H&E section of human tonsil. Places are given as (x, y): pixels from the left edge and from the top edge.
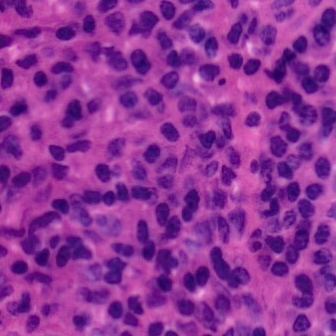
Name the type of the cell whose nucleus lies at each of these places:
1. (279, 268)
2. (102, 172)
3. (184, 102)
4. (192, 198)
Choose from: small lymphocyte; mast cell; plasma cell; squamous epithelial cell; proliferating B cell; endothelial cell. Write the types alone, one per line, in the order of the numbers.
plasma cell
plasma cell
squamous epithelial cell
plasma cell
